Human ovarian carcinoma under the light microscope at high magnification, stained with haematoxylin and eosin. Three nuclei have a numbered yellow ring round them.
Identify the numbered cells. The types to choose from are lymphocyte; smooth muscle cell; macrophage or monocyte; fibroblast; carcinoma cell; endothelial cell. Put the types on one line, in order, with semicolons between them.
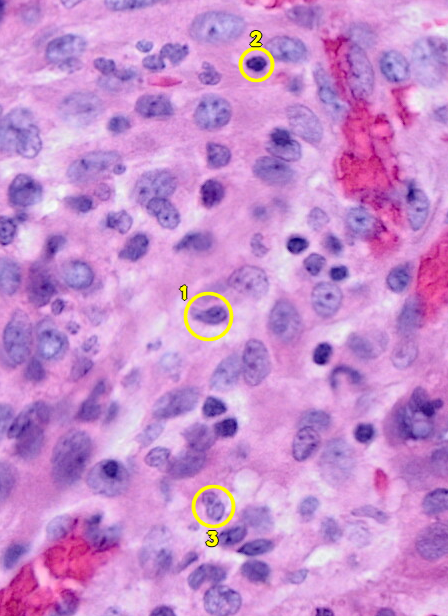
macrophage or monocyte; lymphocyte; macrophage or monocyte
